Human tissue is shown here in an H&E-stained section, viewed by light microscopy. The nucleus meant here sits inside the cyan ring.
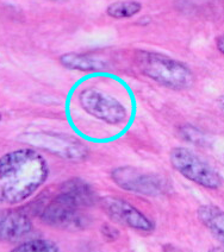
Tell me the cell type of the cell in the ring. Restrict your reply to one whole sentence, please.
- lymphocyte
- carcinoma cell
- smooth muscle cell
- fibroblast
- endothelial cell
Right, so the cell in the ring is a fibroblast, to answer that.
